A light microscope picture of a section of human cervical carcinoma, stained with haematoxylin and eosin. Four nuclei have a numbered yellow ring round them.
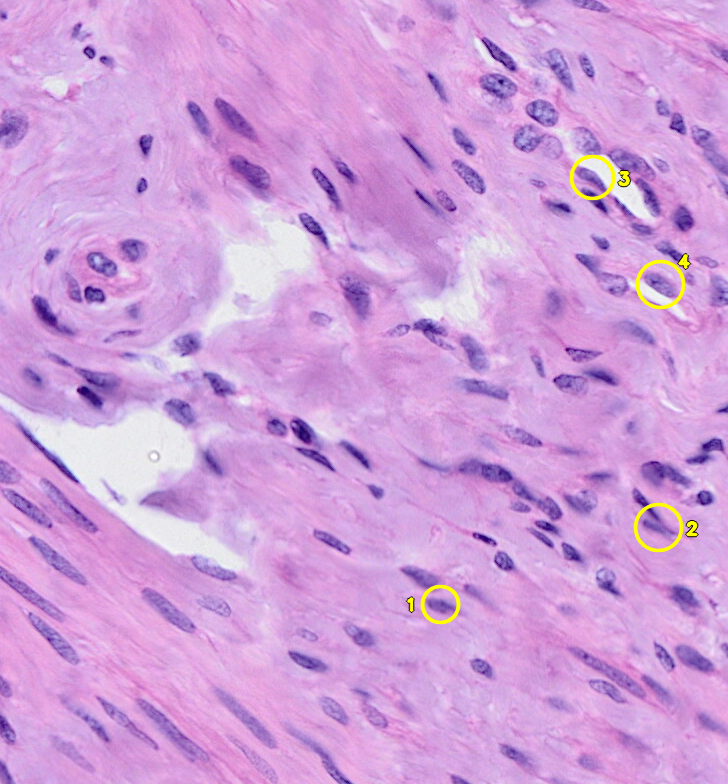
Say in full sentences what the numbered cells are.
Cells 1 and 2 are fibroblasts. Cells 3 and 4 are endothelial cells.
